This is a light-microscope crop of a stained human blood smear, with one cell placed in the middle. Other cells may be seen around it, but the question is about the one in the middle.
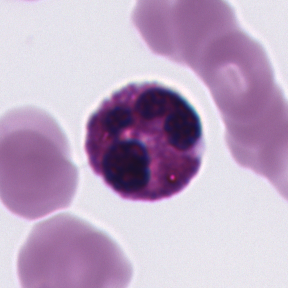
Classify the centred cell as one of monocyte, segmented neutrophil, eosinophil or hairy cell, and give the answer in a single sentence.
The crop's centre is taken up by an eosinophil.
